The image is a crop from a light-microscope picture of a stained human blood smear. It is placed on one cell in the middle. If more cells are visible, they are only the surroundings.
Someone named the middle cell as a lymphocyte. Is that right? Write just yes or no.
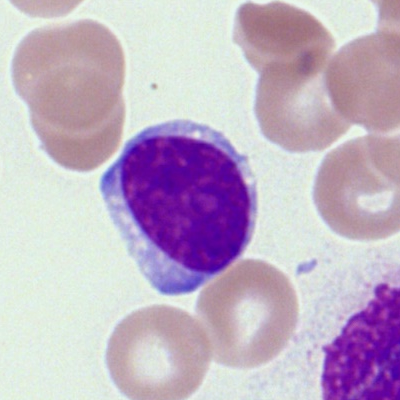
yes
